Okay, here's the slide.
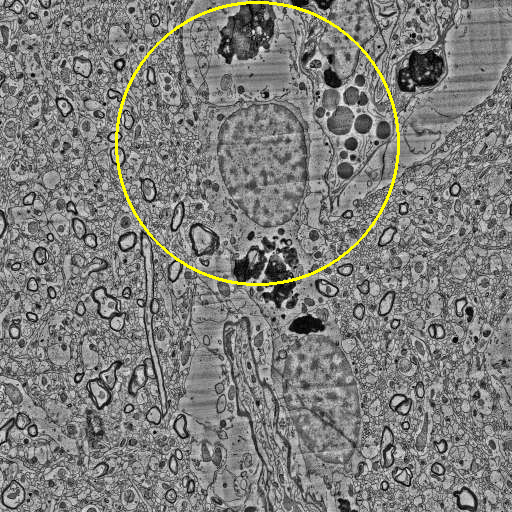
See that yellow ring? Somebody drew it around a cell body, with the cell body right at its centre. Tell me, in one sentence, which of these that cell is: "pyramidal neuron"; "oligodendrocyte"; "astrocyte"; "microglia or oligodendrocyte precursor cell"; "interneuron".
The cell in the middle of the ring is an oligodendrocyte.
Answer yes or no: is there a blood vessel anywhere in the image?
Yes.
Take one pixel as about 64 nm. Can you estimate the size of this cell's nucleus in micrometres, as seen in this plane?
In this plane, the nucleus of the cell at the centre of the ring measures about 8 by 6 micrometres.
